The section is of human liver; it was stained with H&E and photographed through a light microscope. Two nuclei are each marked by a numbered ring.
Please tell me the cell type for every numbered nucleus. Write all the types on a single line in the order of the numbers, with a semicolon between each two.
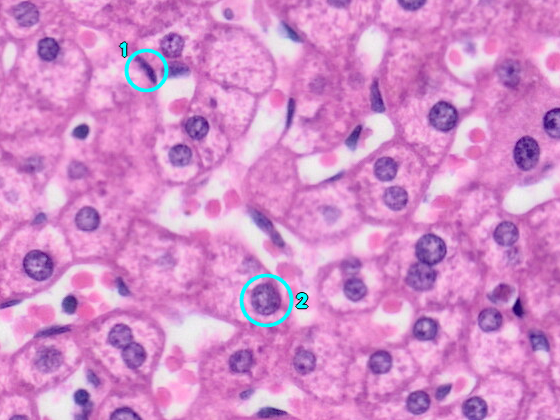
fibroblast or stellate cell; hepatocyte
